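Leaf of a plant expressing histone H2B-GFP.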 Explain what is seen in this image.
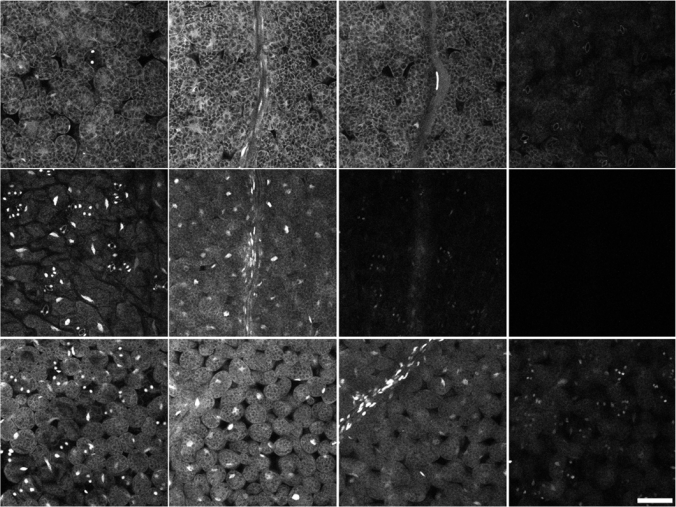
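A grid of grey confocal optical sections through a leaf at increasing depth shows the surface layer of cells with faint outlines and small bright round nuclei, some lying in close pairs. In several sections a vein runs across the field as a line of elongated bright nuclei. In the deeper sections some rows still show packed rounded cells with faint outlines, while in others the image fades to nearly black.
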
